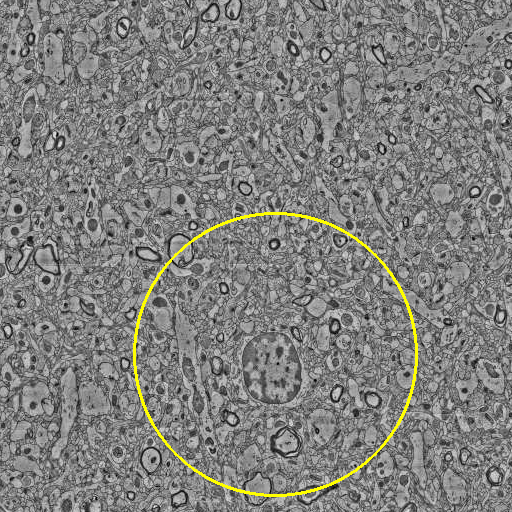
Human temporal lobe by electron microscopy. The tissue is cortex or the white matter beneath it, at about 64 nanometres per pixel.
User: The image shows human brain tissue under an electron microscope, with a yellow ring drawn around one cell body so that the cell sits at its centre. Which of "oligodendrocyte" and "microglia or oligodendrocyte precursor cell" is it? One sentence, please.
At the centre of the ring sits a microglial cell or oligodendrocyte precursor cell.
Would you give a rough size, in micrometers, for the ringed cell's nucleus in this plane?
In this plane, approximately 5 by 4 micrometers.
